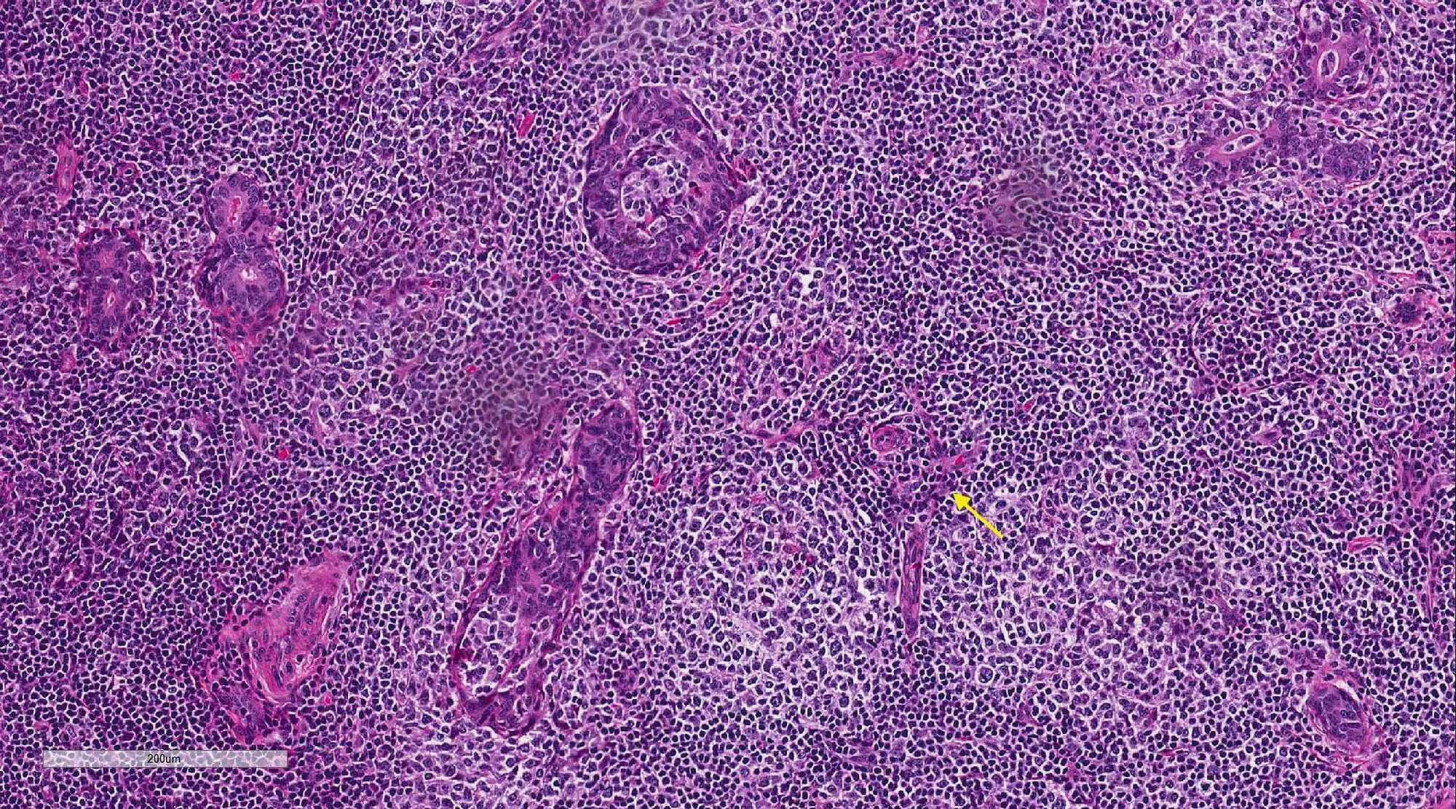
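The field is filled by a dense infiltrate of small round lymphoid cells with dark purple nuclei and scant cytoplasm, arranged in diffuse sheets. Scattered through the infiltrate are nests and duct-like structures of epithelial cells with larger, paler nuclei and pink cytoplasm, some of them rimmed by pink fibrous tissue. Lymphoid cells crowd around and extend into several of these epithelial structures, partly obscuring their outlines. Paler areas with cells having more cytoplasm are interspersed among the darker sheets of lymphocytes.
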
